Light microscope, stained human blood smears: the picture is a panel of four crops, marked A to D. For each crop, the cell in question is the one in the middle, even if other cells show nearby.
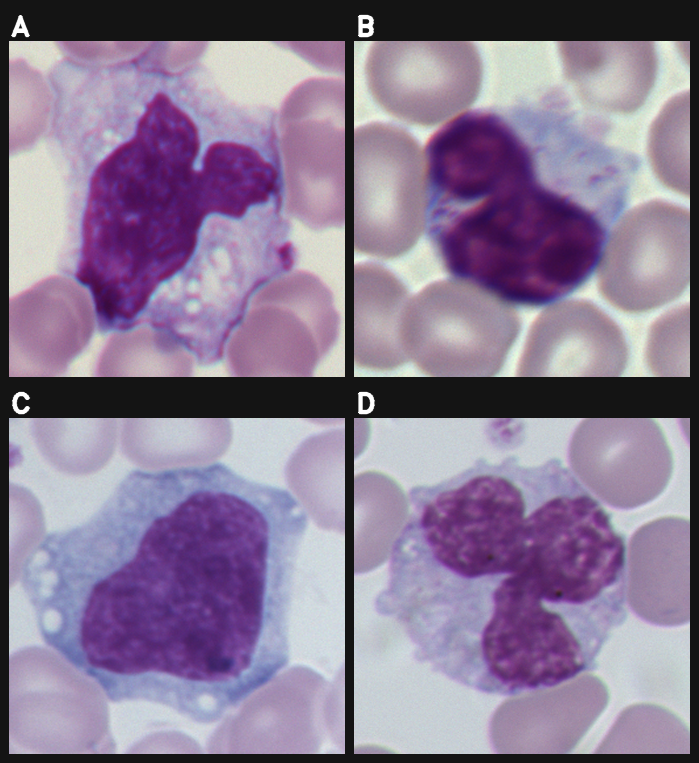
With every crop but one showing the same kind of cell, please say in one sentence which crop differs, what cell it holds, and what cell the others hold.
The exception is crop B: it is a large granular lymphocyte, and the others are all monocytes.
